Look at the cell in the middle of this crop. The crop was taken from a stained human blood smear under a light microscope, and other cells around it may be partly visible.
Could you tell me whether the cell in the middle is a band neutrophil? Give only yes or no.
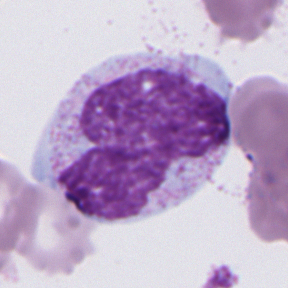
yes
